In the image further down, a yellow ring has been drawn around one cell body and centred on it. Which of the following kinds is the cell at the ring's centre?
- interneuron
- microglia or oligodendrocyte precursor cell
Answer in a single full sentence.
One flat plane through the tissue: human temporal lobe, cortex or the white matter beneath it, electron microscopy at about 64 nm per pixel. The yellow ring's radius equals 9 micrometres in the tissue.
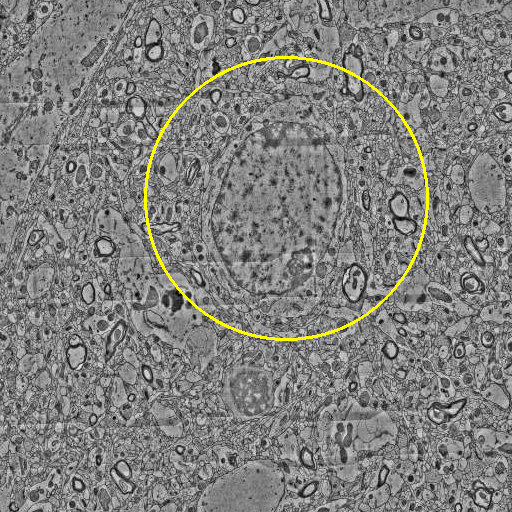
In the picture, the cell sitting at the centre of the yellow ring is an interneuron.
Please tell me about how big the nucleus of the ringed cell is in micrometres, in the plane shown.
The ringed cell's nucleus measures approximately 11 by 8 micrometres in this plane.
